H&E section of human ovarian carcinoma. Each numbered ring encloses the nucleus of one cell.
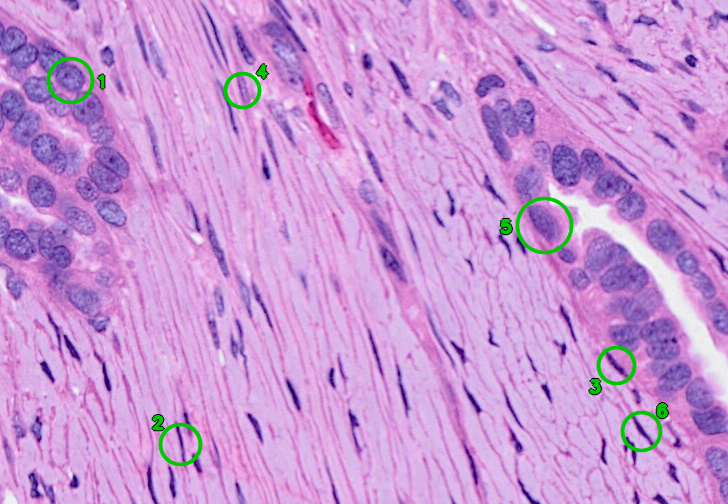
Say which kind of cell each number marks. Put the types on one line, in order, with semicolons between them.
carcinoma cell; fibroblast; fibroblast; fibroblast; carcinoma cell; fibroblast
